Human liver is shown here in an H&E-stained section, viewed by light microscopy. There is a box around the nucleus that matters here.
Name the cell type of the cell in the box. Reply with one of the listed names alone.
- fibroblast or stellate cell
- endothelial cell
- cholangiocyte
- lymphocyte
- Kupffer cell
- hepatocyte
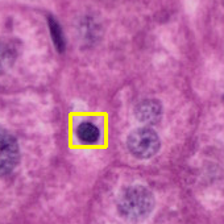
lymphocyte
